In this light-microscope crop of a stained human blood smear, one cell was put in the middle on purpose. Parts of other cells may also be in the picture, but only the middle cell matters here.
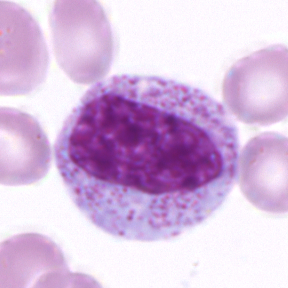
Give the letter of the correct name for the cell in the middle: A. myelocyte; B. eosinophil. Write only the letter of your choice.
A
